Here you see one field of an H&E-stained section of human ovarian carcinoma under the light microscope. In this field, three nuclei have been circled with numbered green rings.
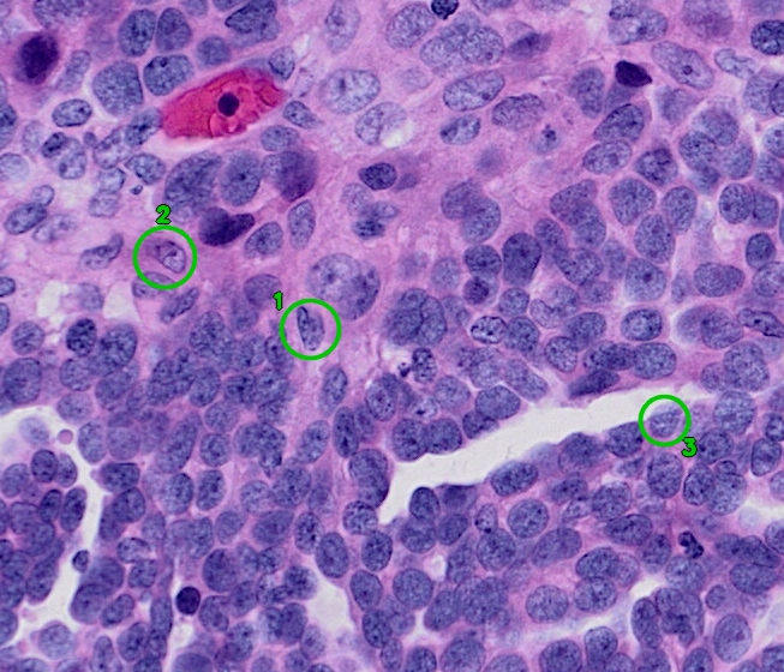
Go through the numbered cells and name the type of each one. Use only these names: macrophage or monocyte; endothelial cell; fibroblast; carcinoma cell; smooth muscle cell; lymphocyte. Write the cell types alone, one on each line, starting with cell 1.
macrophage or monocyte
fibroblast
carcinoma cell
